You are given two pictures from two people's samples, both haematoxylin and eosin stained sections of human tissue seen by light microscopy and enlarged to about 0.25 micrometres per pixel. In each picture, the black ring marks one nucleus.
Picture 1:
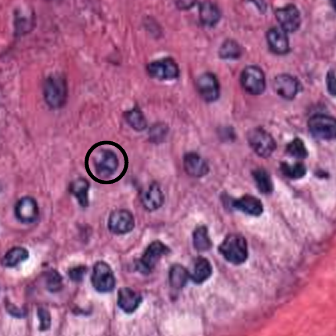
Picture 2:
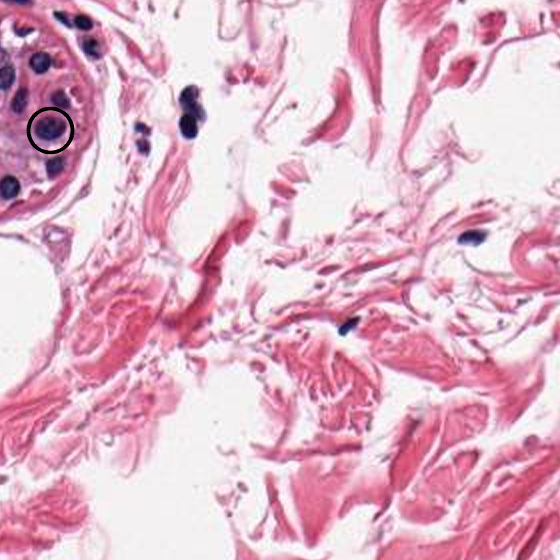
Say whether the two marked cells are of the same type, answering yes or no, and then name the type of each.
No, the first is a keratinocyte and the second a sweat gland cell.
